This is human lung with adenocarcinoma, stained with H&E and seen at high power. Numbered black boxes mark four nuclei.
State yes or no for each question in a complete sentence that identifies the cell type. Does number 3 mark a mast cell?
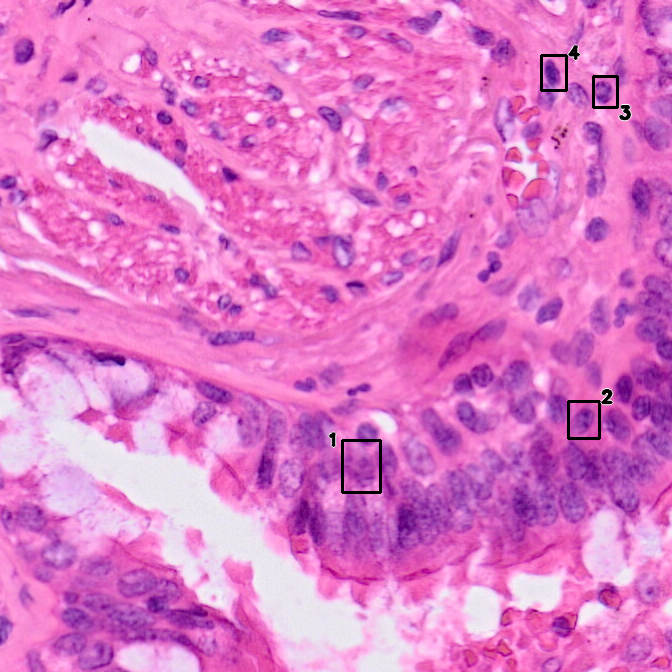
Yes, cell number 3 is classified as a mast cell.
